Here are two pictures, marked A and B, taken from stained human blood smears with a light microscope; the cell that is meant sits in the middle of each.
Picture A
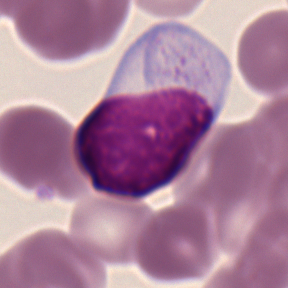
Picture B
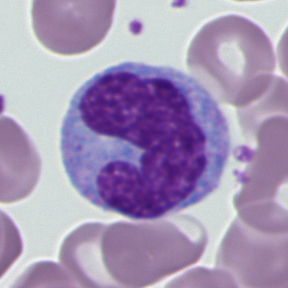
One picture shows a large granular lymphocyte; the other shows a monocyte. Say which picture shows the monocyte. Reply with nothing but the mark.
B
